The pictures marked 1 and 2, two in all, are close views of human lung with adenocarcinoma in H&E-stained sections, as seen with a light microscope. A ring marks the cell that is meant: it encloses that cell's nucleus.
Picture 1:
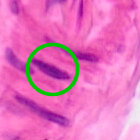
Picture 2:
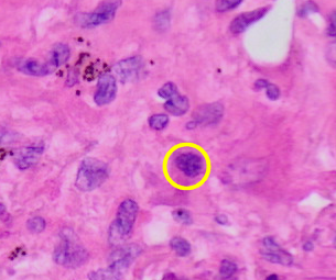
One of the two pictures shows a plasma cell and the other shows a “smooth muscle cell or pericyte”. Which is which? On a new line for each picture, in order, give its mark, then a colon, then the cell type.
1: smooth muscle cell or pericyte
2: plasma cell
